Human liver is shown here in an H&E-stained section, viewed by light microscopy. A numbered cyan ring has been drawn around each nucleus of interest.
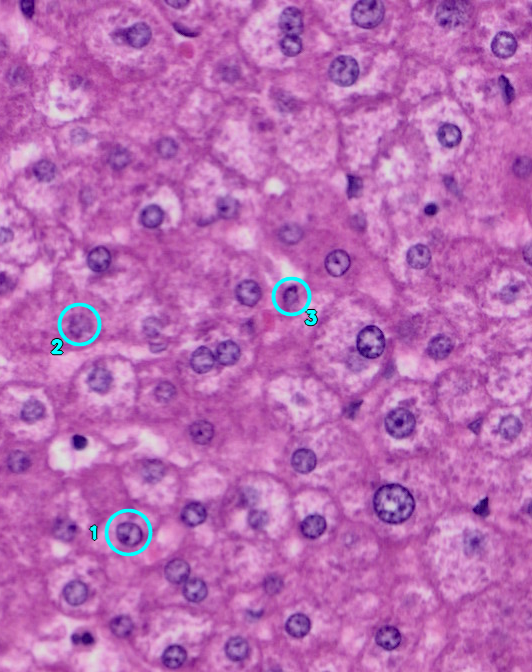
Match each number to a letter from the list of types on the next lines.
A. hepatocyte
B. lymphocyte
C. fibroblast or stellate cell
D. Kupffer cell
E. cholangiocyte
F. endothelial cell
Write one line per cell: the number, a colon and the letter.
1: A
2: A
3: D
